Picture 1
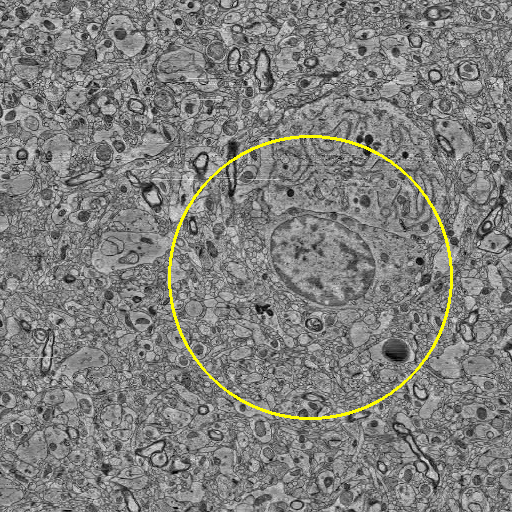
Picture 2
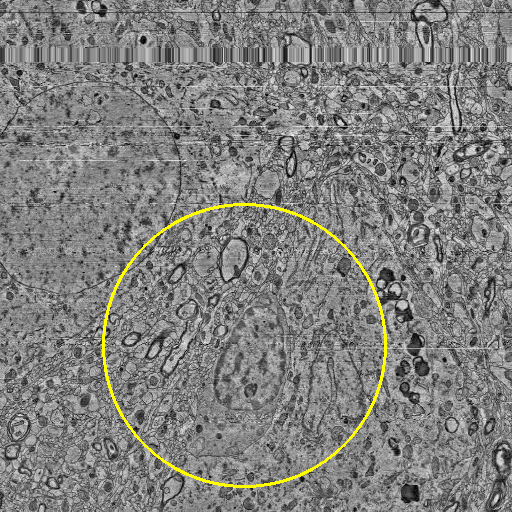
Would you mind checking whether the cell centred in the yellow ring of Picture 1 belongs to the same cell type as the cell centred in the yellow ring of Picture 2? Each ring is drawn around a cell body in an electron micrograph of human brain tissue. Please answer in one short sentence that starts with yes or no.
Yes, both cells are of the same type.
